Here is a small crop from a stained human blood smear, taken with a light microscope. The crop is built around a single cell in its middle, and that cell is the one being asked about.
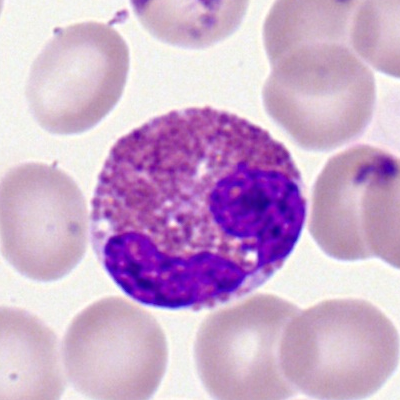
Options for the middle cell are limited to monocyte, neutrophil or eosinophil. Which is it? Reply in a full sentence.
The cell under consideration, at the middle of the crop, is an eosinophil.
